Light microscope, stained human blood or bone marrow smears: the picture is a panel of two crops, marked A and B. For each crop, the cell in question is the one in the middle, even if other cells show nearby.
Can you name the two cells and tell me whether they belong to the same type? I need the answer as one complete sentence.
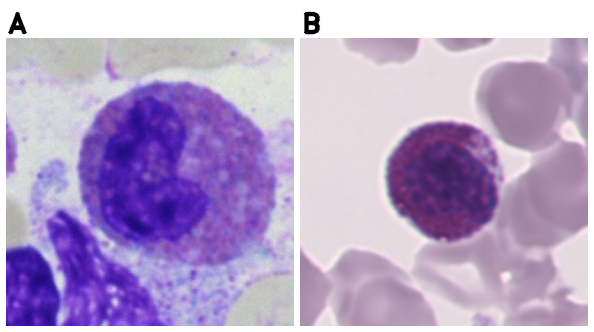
Yes, in both crops, eosinophils are the cells at the middle.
